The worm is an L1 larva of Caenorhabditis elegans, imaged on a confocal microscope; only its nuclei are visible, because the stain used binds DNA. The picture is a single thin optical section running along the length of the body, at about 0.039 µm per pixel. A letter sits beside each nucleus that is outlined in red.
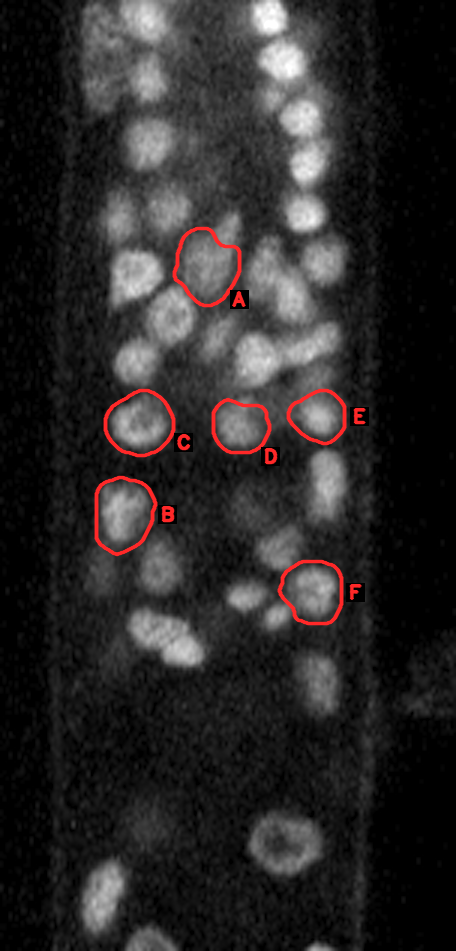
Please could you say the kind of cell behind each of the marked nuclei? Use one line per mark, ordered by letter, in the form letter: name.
A: pharyngeal marginal cell
B: pharyngeal muscle cell
C: pharyngeal muscle cell
D: pharyngeal muscle cell
E: neuron
F: body wall muscle cell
